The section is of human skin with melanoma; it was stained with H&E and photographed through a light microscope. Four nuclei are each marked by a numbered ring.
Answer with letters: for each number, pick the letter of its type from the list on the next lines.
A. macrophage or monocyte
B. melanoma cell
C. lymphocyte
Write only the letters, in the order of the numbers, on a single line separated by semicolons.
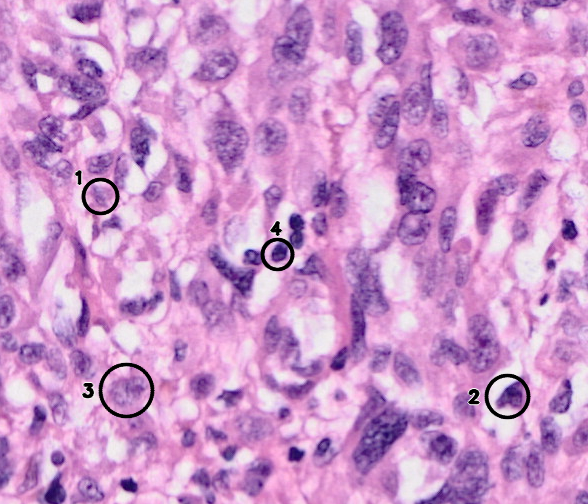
B; B; B; C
